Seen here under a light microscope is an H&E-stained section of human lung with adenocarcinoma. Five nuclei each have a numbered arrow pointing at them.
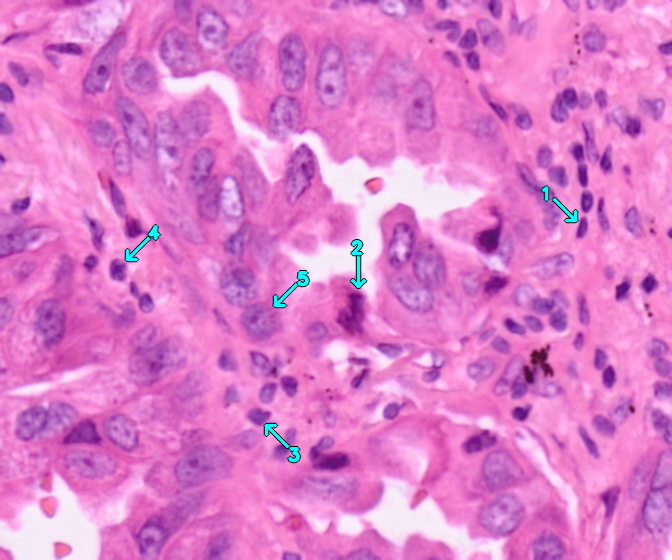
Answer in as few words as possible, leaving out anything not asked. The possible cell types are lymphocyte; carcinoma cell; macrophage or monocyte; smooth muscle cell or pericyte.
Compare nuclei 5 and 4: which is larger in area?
5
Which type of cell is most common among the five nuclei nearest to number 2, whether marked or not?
carcinoma cell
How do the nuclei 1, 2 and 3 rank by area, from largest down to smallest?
2, 3, 1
